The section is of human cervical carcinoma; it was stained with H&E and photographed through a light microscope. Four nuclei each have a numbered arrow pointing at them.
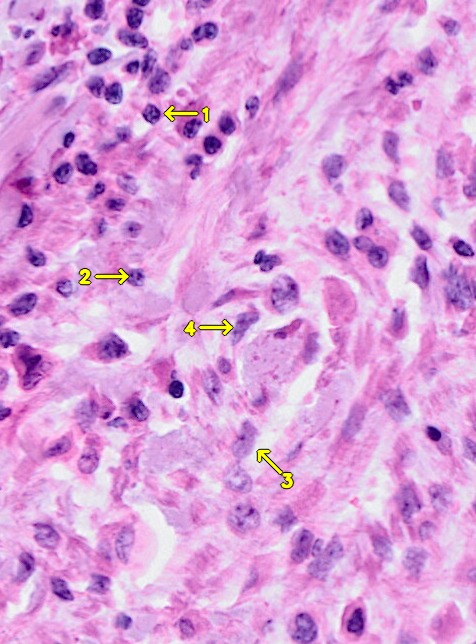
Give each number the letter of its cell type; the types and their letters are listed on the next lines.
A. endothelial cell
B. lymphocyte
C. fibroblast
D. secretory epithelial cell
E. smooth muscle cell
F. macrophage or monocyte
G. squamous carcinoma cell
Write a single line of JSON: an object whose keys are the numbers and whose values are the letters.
{"1": "B", "2": "B", "3": "C", "4": "C"}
